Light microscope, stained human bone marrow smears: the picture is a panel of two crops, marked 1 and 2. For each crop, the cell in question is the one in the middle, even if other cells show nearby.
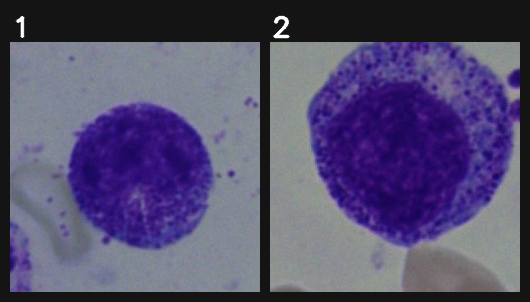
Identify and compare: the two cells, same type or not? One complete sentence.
Yes, both crops show myelocytes, each crop centred on one of them.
